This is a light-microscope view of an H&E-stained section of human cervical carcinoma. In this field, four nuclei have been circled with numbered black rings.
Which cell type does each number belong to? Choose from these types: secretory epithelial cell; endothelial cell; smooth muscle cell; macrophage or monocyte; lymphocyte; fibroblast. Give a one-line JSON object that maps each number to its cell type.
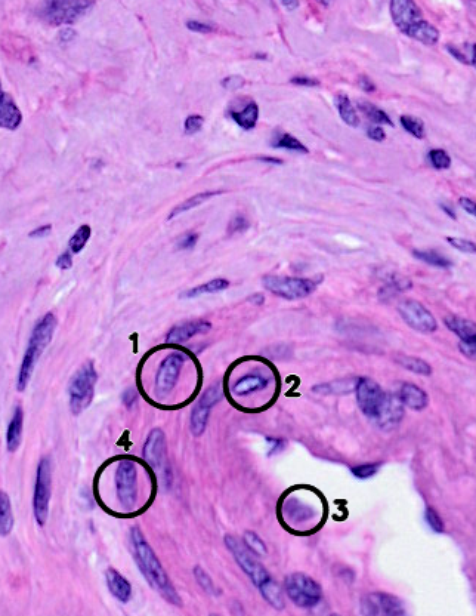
{"1": "smooth muscle cell", "2": "smooth muscle cell", "3": "endothelial cell", "4": "smooth muscle cell"}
